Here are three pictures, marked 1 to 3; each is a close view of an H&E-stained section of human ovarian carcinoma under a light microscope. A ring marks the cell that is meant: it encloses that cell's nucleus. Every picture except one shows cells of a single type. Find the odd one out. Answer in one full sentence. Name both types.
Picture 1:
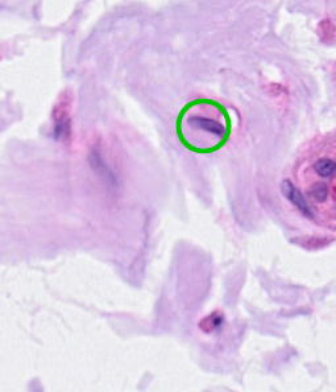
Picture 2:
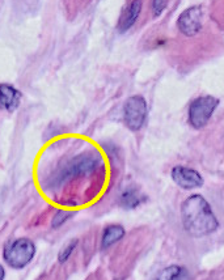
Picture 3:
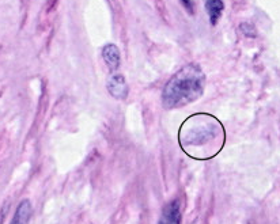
Picture 3 is the odd one out: it shows a fibroblast, while the others show endothelial cells.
